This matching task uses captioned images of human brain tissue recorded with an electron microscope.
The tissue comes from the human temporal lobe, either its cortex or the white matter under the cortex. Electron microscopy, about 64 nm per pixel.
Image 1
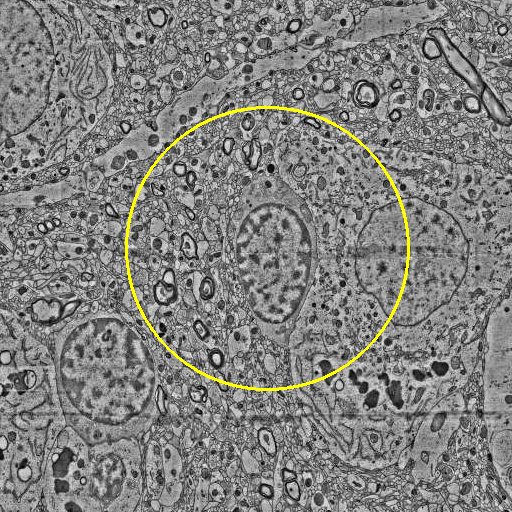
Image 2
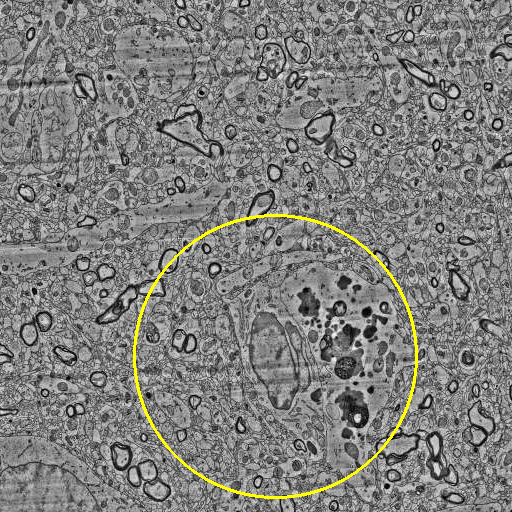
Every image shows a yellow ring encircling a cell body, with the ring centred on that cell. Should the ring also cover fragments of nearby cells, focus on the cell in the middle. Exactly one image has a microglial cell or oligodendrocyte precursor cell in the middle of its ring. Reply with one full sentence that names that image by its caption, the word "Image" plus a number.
Image 2 shows the cell in question at the centre of its yellow ring.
